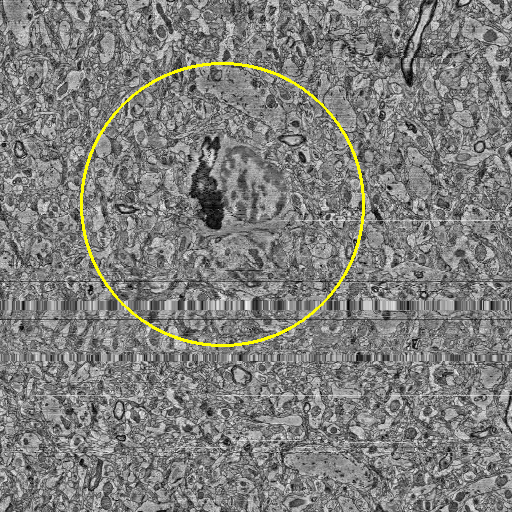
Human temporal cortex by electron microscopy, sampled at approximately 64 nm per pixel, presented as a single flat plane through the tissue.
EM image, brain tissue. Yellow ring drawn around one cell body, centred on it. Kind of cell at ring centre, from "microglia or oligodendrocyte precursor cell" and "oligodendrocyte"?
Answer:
oligodendrocyte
